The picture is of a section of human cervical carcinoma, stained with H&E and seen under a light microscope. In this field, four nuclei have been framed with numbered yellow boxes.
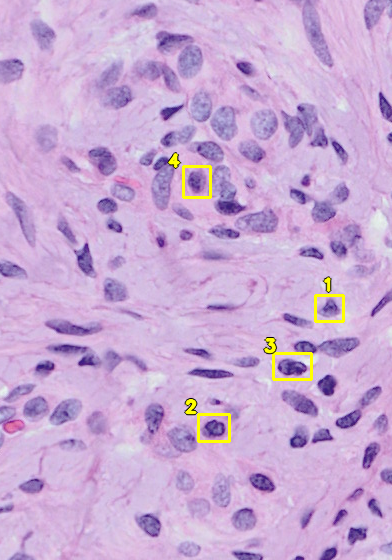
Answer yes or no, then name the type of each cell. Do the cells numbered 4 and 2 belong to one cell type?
Yes, within the numbered set, cells 4 and 2 are both endothelial cells.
